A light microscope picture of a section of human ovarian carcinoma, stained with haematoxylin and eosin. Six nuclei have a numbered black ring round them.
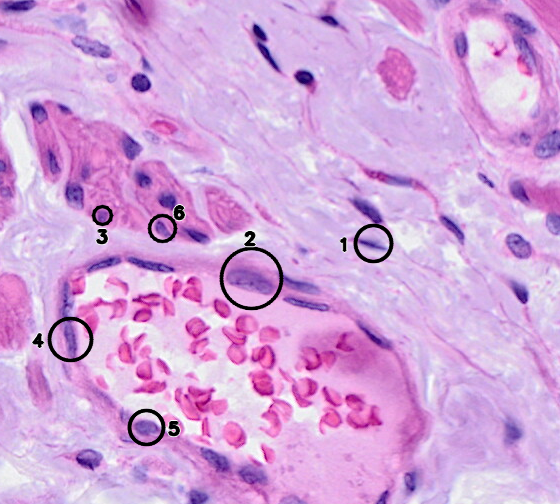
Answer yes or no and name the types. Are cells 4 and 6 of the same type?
No, cell 6 is a smooth muscle cell, but cell 4 is an endothelial cell.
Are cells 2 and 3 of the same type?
No, cell 2 is typed as an endothelial cell, and cell 3 is typed as a smooth muscle cell.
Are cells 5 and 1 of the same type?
No, a fibroblast is what cell 1 is, while cell 5 is an endothelial cell.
